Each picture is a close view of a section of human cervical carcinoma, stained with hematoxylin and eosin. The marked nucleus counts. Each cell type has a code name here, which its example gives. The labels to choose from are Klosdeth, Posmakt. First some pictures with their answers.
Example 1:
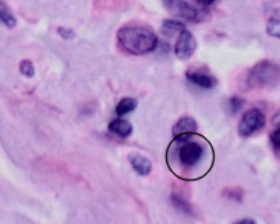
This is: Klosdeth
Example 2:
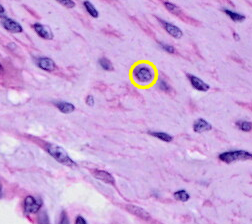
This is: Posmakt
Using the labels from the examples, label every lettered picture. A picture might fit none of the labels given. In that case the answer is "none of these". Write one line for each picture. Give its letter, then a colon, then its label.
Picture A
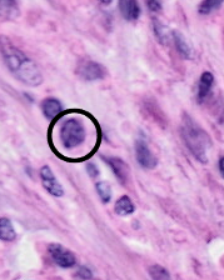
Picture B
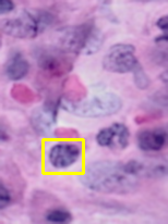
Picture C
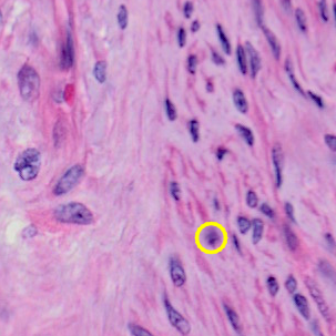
A: Klosdeth
B: Klosdeth
C: Posmakt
